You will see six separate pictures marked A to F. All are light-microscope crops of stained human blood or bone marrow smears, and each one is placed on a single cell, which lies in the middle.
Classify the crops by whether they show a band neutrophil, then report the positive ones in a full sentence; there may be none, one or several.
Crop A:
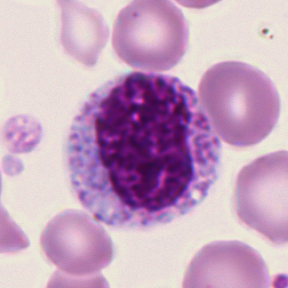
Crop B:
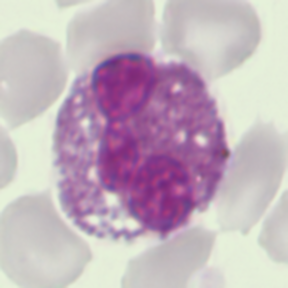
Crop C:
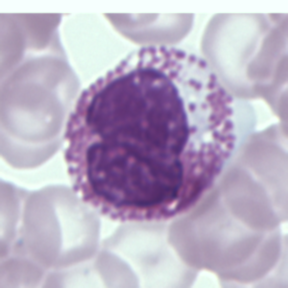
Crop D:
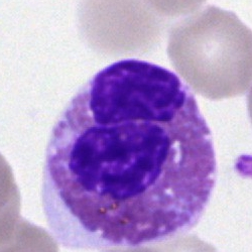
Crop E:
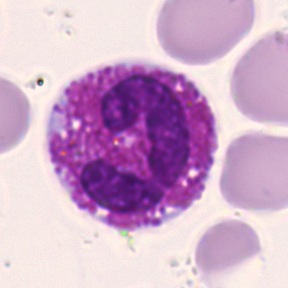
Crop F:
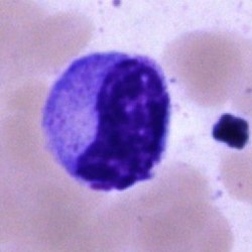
No crop in this set shows a band neutrophil.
